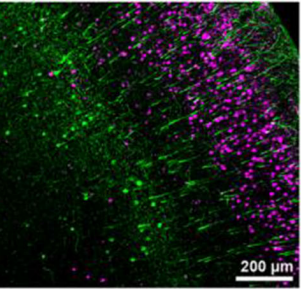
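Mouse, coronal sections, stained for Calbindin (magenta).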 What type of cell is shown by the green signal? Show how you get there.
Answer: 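Green cell bodies lie in a deep band of the section. Long, straight, parallel processes run from the green cells toward the surface. On this evidence: pyramidal neurons.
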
